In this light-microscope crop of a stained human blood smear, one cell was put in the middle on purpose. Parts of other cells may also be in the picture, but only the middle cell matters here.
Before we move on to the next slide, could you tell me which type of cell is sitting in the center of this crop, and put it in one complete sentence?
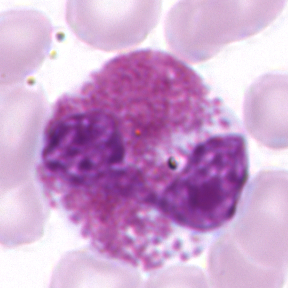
The centrally placed cell is classified as an eosinophil.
